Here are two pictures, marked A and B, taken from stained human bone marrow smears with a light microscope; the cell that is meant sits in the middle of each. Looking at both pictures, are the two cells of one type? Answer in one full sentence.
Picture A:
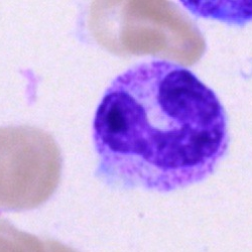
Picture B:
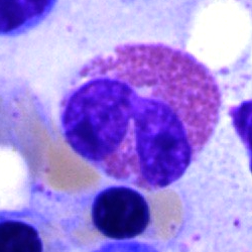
No, they differ: the cell is a band neutrophil in picture A and an eosinophil in picture B.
